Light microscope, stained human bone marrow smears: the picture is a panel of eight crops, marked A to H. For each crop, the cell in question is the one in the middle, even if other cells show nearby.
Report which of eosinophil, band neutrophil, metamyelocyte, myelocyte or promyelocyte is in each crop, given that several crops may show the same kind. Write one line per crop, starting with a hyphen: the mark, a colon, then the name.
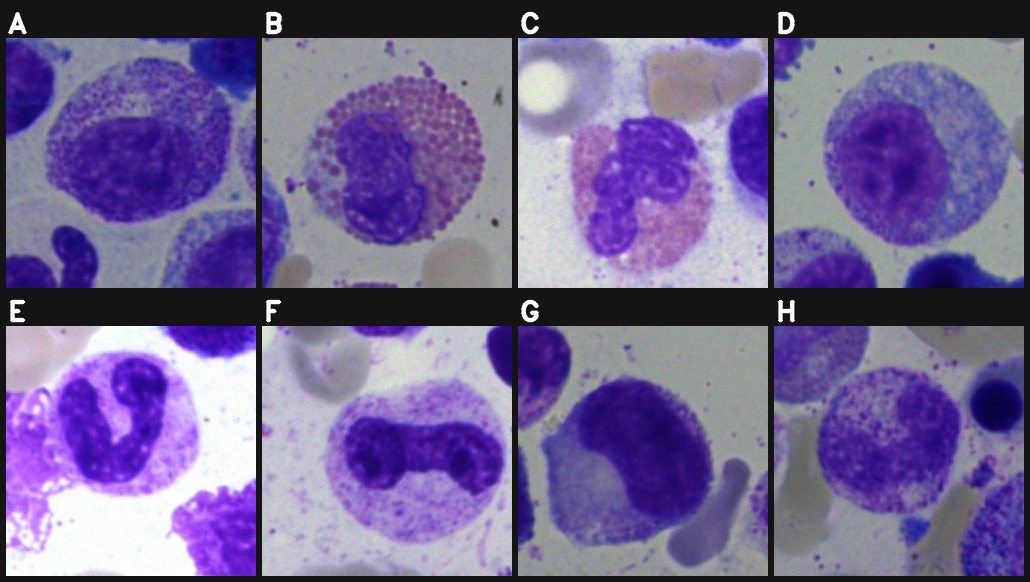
- A: myelocyte
- B: eosinophil
- C: eosinophil
- D: myelocyte
- E: band neutrophil
- F: band neutrophil
- G: metamyelocyte
- H: band neutrophil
